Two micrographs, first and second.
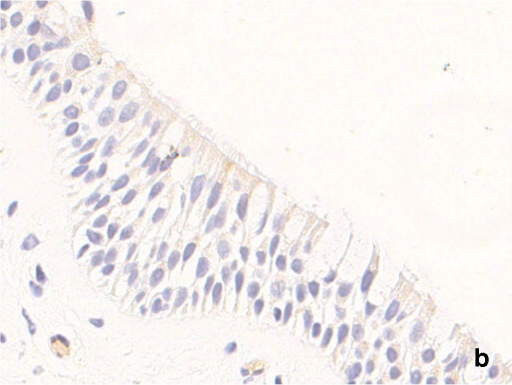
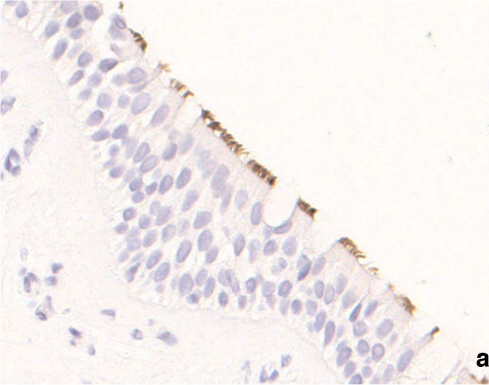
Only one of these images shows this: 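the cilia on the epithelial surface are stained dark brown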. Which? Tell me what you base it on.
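The second image. First image: the apical fringe of the epithelium is pale, at most faintly tan. Second image: the apical fringe of cilia is strongly dark brown.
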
